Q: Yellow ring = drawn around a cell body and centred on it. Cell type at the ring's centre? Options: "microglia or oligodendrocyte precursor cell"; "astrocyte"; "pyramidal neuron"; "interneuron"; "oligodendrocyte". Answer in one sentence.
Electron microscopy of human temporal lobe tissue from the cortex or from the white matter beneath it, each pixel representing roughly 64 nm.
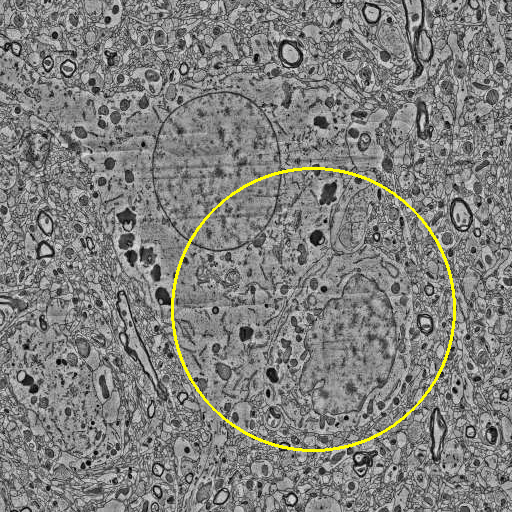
Centred in the ring is an interneuron.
